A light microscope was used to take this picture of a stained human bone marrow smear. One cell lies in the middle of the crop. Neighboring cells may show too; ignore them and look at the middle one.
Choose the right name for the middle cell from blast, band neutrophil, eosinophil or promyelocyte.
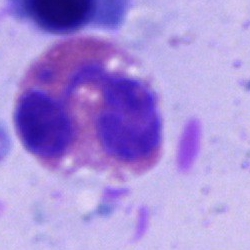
eosinophil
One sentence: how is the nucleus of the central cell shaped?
In short, this nucleus is segmented into two or more parts.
